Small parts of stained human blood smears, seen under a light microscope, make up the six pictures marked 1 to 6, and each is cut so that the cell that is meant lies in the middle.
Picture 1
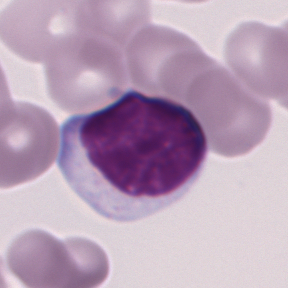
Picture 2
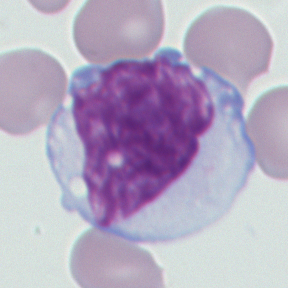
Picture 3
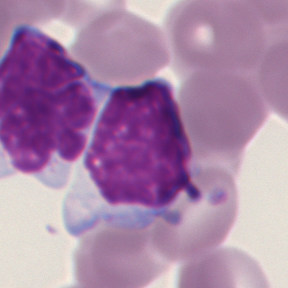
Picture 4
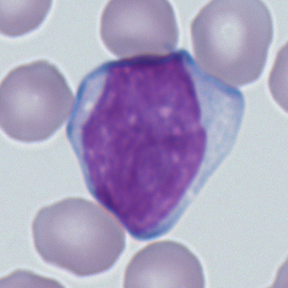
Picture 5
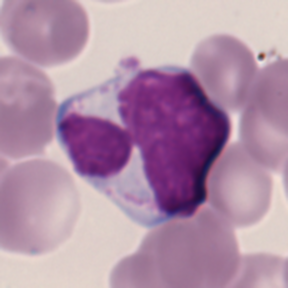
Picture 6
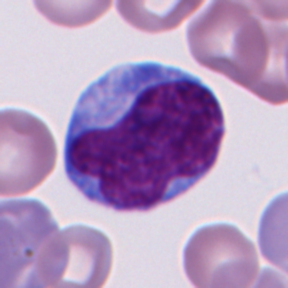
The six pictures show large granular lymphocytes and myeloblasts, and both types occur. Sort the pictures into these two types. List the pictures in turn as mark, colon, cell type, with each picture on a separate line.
1: large granular lymphocyte
2: myeloblast
3: large granular lymphocyte
4: myeloblast
5: large granular lymphocyte
6: myeloblast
